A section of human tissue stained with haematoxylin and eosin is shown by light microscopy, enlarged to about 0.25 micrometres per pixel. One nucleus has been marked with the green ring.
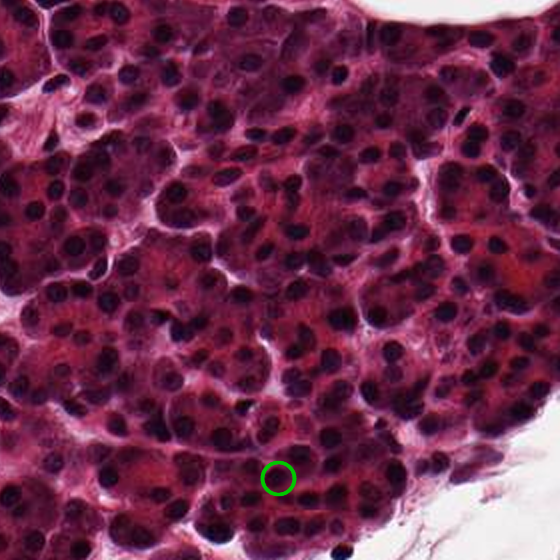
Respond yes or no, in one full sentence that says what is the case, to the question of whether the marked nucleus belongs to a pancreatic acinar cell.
Yes, the marked nucleus is present within a pancreatic acinar cell.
